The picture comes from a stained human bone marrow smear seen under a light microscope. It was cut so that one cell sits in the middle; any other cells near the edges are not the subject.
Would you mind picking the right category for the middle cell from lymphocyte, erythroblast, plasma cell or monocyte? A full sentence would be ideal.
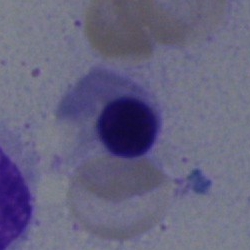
The cell nearest the centre of this crop is an erythroblast.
